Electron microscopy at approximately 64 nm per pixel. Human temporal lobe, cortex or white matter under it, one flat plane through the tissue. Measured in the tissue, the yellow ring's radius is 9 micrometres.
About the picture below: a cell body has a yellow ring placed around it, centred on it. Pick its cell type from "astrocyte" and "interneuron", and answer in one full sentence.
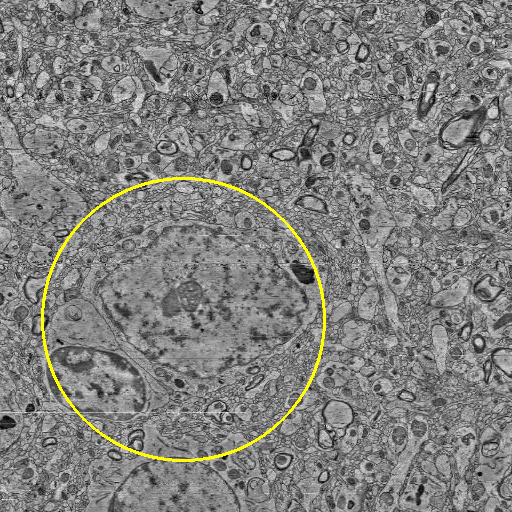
In the picture, an interneuron is the cell sitting at the centre of the yellow ring.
